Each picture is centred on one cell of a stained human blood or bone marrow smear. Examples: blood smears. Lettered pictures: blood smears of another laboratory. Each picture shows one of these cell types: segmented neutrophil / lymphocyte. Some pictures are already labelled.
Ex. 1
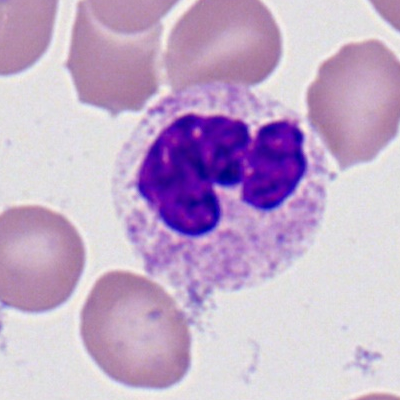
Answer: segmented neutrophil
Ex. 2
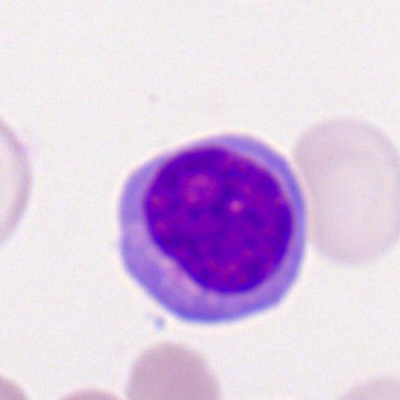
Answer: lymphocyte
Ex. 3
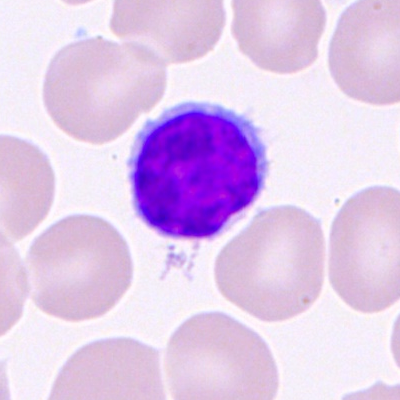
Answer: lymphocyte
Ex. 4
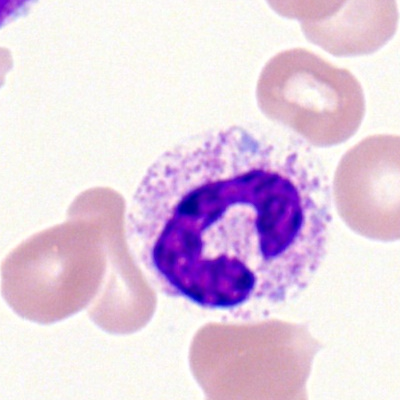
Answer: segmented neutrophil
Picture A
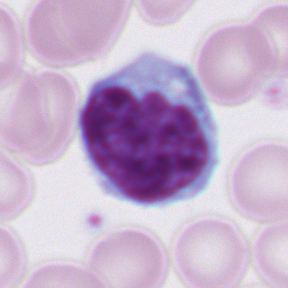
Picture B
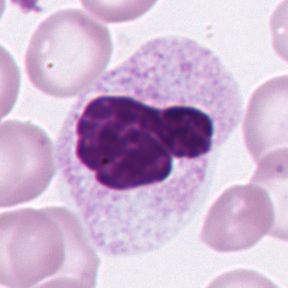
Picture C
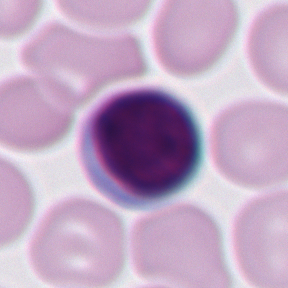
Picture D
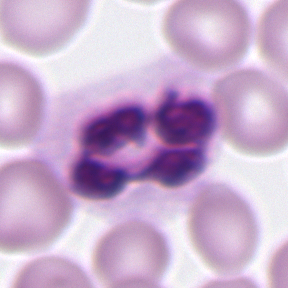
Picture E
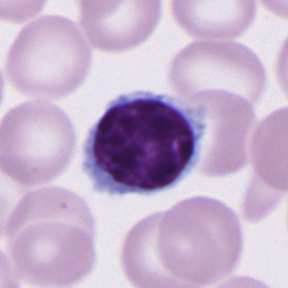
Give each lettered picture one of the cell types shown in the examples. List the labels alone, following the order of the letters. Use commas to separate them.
lymphocyte, segmented neutrophil, lymphocyte, segmented neutrophil, lymphocyte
